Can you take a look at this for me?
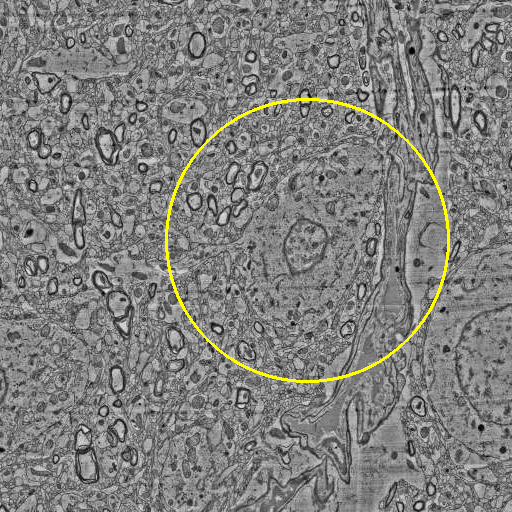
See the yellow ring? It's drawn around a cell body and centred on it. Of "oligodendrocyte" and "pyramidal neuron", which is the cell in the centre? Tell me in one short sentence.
The one in the centre is a pyramidal neuron.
